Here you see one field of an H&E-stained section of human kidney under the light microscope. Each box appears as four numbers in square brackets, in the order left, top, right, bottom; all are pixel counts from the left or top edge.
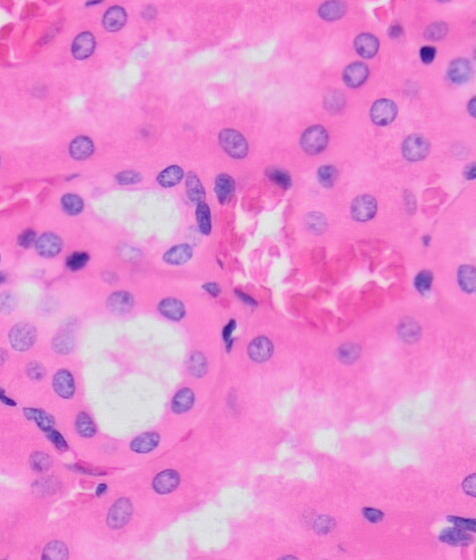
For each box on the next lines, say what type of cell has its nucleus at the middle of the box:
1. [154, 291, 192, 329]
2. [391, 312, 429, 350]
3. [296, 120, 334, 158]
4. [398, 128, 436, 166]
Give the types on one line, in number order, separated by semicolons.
loop of Henle or distal tubule cell; proximal tubule cell; proximal tubule cell; proximal tubule cell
